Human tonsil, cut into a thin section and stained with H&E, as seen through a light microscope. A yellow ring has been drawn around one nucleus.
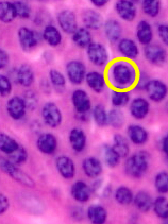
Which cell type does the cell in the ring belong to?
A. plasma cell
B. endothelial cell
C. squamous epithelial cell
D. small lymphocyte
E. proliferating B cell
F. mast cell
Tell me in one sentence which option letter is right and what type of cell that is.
It is option A that correctly calls the cell in the ring a plasma cell.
